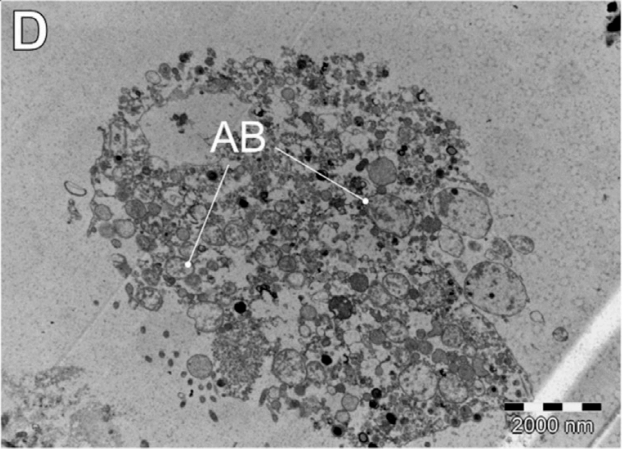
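In place of a single intact cell body with a continuous outline, the field holds a loose cluster of many rounded membrane-bound fragments of very different sizes. Some fragments are pale and nearly empty, others contain granular material or small dark dense particles. No intact nucleus with a clear envelope can be made out, and the outer boundary of the cell is lost, the cluster fraying at its edges into separate small vesicles that lie in the pale surrounding space.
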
